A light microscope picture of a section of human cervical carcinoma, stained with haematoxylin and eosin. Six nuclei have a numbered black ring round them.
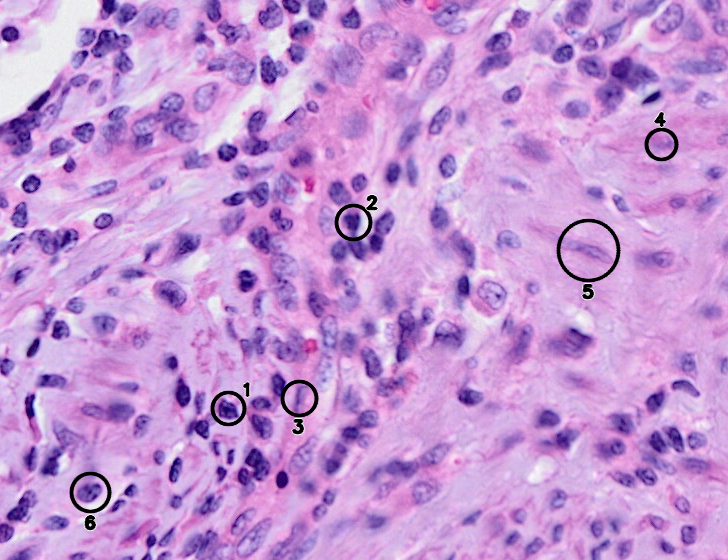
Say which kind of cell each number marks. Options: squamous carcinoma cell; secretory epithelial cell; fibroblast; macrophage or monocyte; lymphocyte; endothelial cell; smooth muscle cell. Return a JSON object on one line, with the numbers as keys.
{"1": "lymphocyte", "2": "lymphocyte", "3": "endothelial cell", "4": "smooth muscle cell", "5": "smooth muscle cell", "6": "lymphocyte"}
